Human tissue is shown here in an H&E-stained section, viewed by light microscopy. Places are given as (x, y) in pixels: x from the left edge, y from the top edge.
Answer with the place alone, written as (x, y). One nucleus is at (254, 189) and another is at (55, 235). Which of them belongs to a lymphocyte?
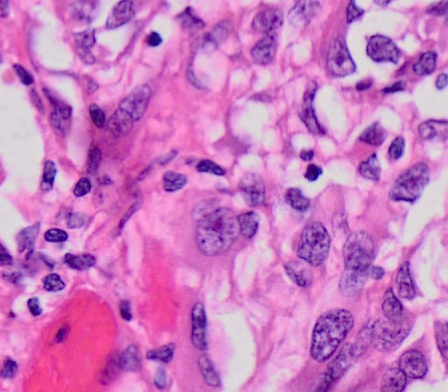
(55, 235)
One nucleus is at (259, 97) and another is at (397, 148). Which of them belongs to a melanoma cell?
(259, 97)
